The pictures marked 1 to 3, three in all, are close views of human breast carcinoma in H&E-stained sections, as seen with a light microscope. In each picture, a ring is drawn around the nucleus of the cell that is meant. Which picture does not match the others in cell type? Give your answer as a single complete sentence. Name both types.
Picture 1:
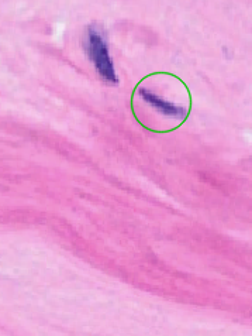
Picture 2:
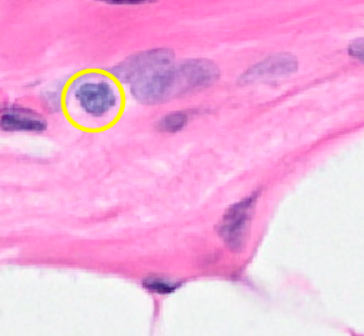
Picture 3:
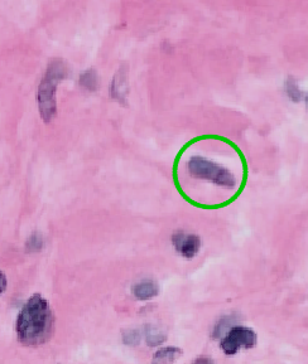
The different one is picture 1; it shows a fibroblast, whereas all the others show lymphocytes.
